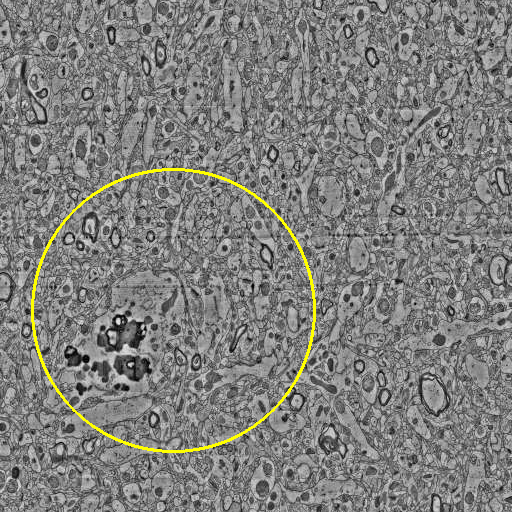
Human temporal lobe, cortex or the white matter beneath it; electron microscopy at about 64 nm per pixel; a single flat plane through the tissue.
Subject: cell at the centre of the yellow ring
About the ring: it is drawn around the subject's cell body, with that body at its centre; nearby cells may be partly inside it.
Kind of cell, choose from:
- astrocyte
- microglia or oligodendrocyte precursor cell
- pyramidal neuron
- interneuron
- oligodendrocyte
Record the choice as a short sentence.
The subject cell is an astrocyte.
